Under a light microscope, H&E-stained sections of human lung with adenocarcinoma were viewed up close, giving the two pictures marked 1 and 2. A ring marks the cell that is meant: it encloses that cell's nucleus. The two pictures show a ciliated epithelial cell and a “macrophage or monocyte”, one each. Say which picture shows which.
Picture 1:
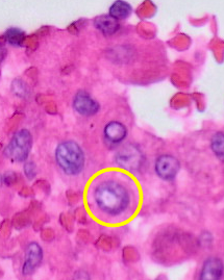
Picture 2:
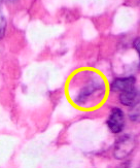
1: macrophage or monocyte
2: ciliated epithelial cell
